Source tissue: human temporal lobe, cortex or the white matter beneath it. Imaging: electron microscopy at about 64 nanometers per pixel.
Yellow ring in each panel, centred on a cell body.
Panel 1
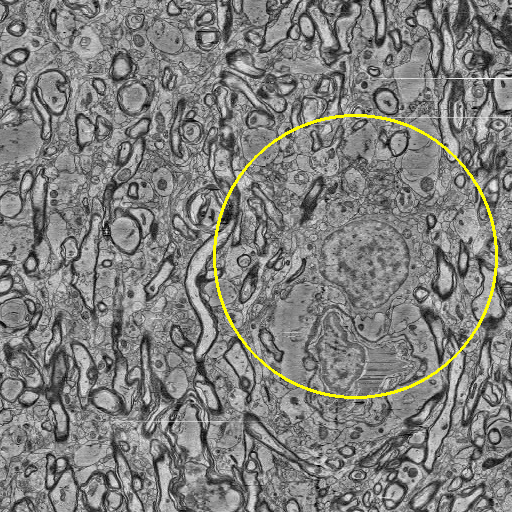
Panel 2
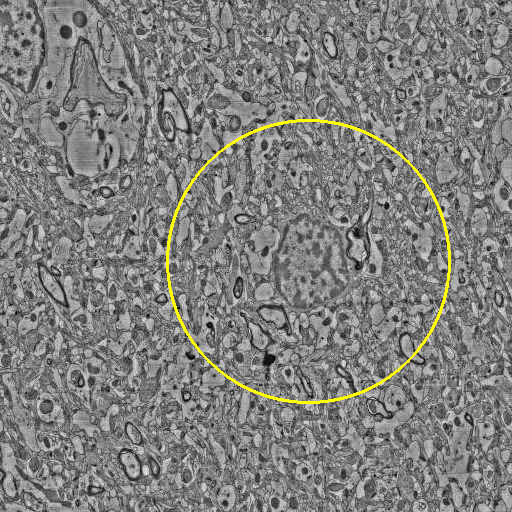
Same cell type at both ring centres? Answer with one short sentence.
Yes, both cells are of the same type.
